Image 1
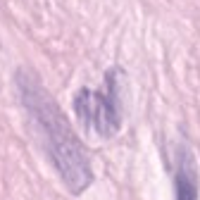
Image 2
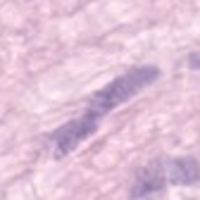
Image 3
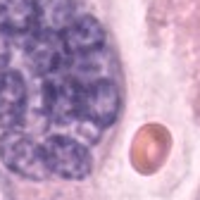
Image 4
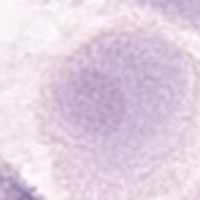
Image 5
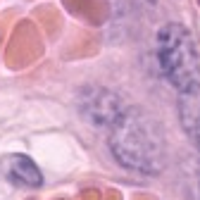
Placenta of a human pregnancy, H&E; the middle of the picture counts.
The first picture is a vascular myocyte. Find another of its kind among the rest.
Picture 2.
